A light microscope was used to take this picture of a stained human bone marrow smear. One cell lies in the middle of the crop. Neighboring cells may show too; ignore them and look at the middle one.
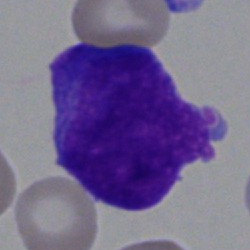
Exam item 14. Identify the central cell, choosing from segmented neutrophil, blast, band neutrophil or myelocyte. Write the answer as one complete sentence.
The cell featured at the centre of this crop is a blast.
